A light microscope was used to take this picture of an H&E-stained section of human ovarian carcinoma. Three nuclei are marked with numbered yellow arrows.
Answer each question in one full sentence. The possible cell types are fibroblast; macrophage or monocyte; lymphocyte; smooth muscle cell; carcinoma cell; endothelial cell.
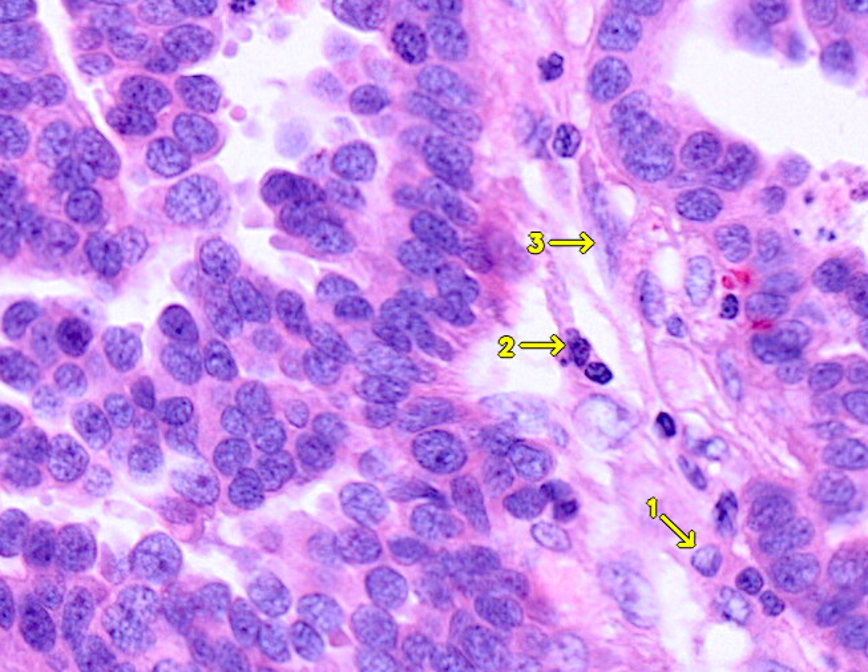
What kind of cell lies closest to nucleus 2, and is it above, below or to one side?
Just below and to the right of nucleus 2 lies the nearest nucleus, which belongs to a lymphocyte.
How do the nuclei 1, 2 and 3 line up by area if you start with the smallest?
By area, going up from the smallest, they rank 2, 1, 3.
